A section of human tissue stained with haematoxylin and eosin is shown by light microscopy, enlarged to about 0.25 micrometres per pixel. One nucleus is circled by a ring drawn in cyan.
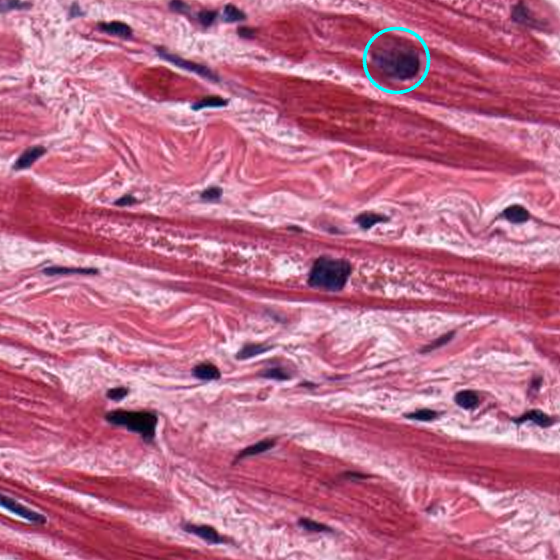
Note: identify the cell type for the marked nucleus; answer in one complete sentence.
Within a cardiomyocyte lies the marked nucleus.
